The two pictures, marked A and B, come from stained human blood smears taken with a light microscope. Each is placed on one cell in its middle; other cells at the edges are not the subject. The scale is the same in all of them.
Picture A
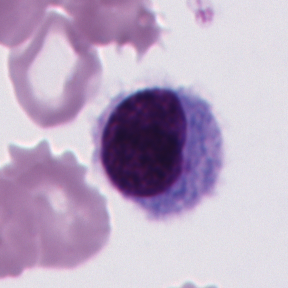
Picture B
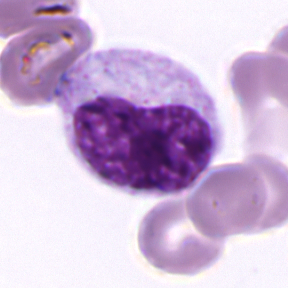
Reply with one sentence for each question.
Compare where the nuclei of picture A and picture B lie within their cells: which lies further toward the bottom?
In picture B the nucleus is shifted more toward the bottom.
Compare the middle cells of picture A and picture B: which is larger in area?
Larger is the cell in picture B, at roughly 1.5 times the area of the other.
